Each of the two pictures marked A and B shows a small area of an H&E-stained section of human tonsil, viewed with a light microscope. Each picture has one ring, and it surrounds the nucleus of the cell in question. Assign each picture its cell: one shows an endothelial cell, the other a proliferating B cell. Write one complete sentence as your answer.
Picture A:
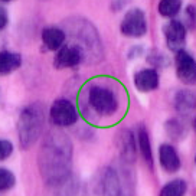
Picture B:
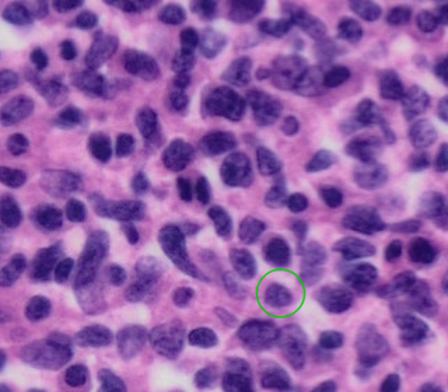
It is picture A that shows an endothelial cell, and picture B that shows a proliferating B cell.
